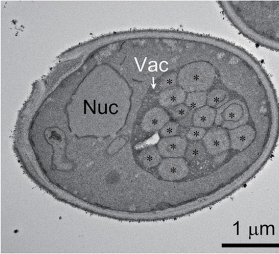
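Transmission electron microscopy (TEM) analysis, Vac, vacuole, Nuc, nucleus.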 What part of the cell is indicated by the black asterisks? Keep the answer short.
autophagic bodies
